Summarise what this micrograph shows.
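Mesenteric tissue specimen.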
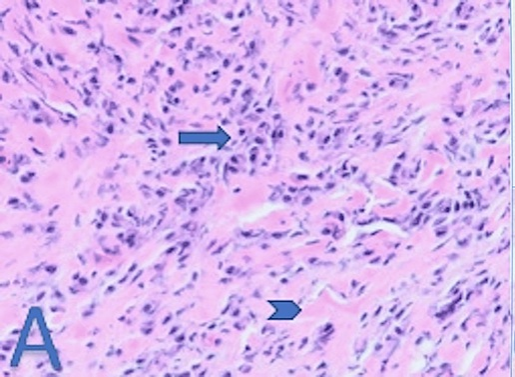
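Between the bands lie many spindle-shaped cells with elongated dark nuclei. Scattered through it, and crowded in places, are small cells with round, dark nuclei, which are inflammatory cells of the lymphocyte and plasma cell kind.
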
